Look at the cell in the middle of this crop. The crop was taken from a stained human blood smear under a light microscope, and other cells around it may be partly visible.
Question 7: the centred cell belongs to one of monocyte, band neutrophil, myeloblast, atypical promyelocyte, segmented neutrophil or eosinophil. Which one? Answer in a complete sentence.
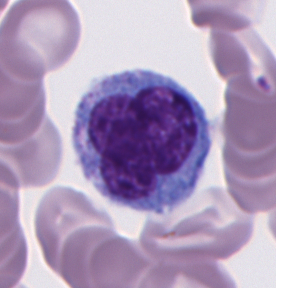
The identification for the central cell is a monocyte.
